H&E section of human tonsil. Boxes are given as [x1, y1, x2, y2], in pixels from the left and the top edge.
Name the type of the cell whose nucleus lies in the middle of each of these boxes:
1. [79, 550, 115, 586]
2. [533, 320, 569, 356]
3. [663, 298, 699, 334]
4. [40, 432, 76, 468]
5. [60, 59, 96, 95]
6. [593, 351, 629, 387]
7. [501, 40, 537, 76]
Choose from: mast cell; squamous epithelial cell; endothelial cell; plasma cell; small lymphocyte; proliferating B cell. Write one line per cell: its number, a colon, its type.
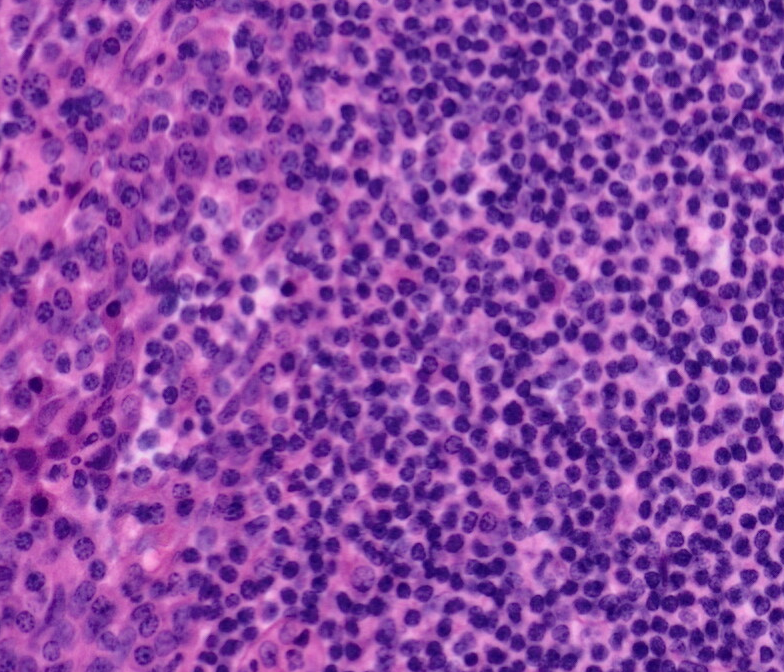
1: plasma cell
2: small lymphocyte
3: small lymphocyte
4: squamous epithelial cell
5: plasma cell
6: small lymphocyte
7: small lymphocyte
